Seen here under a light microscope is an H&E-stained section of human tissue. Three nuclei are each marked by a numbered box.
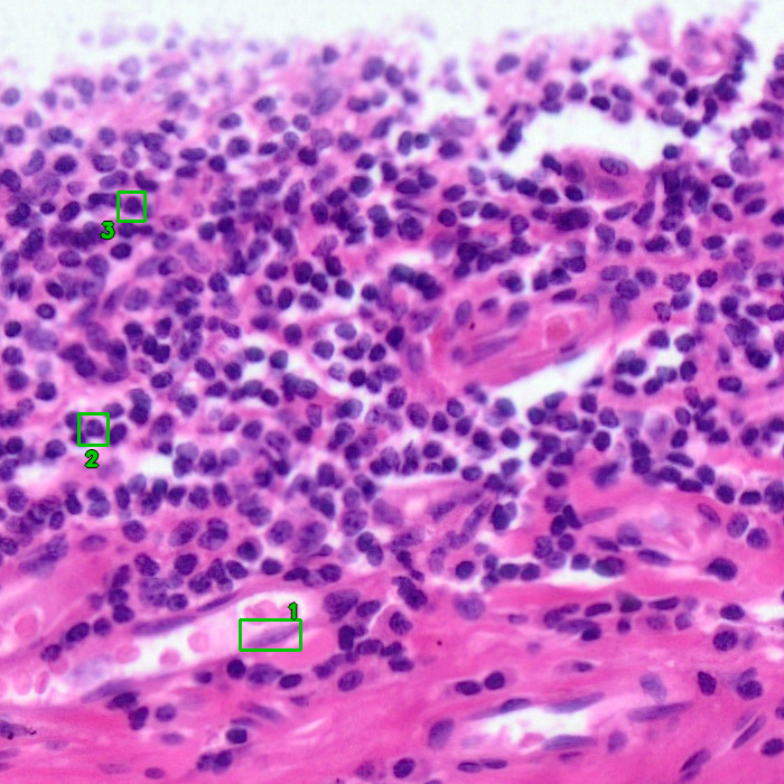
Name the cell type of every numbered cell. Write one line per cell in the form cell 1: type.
cell 1: endothelial cell
cell 2: small lymphocyte
cell 3: small lymphocyte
